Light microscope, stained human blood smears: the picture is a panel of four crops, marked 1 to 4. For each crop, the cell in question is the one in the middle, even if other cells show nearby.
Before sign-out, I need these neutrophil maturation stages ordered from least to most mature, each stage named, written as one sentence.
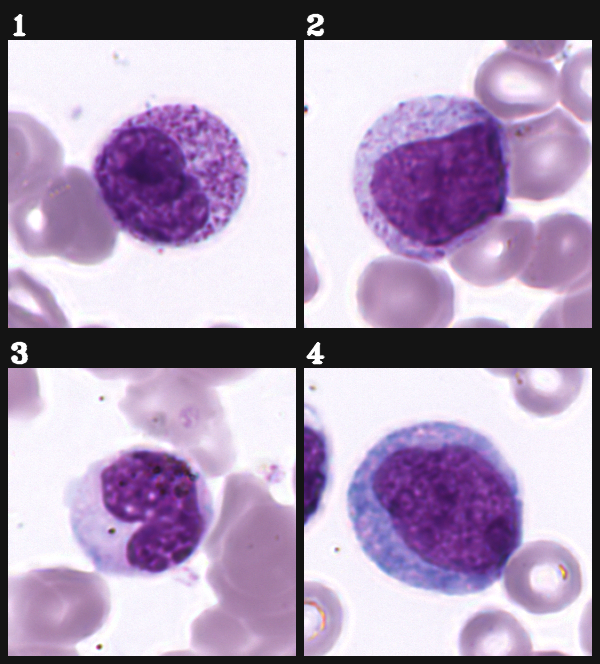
When ranked by maturity from lowest to highest, the order is crop 4 (a promyelocyte), crop 2 (a myelocyte), crop 1 (a metamyelocyte) and crop 3 (a band neutrophil).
